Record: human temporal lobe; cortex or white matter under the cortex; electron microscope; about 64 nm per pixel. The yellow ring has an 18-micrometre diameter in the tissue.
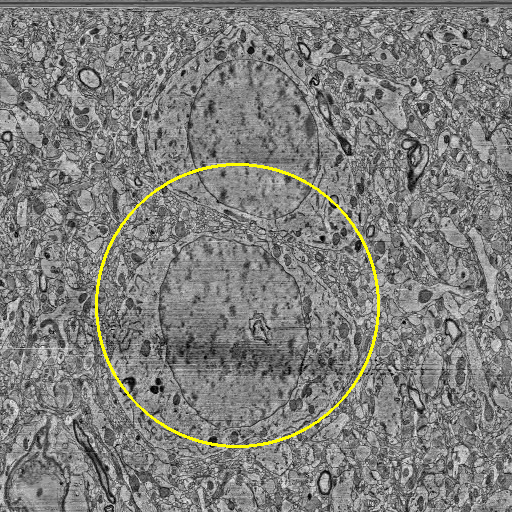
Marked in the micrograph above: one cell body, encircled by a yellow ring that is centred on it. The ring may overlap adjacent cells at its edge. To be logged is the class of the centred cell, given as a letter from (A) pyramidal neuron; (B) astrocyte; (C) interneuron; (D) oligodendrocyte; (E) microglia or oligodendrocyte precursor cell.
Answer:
A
